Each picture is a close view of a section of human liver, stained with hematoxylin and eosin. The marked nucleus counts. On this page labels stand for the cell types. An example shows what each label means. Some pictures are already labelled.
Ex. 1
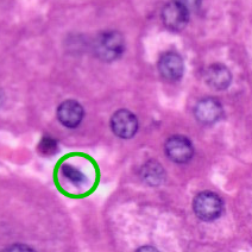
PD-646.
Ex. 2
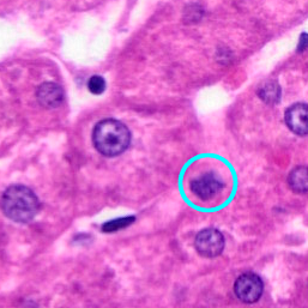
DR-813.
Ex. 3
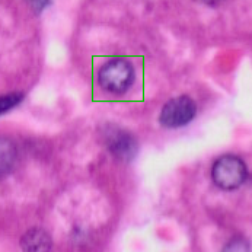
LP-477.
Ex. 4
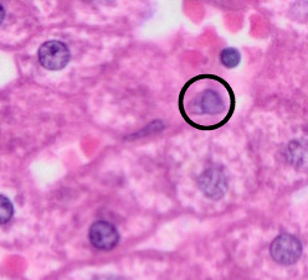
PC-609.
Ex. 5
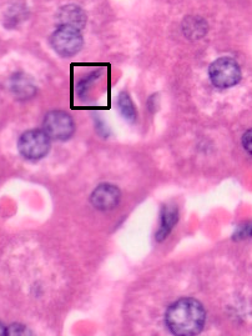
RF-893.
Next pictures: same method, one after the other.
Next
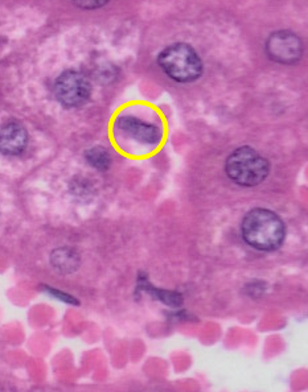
PC-609.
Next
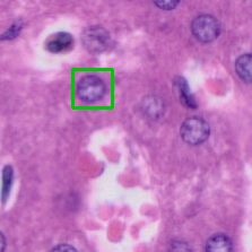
LP-477.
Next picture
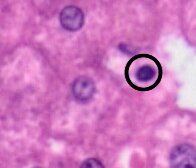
PD-646.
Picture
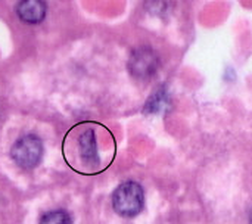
DR-813.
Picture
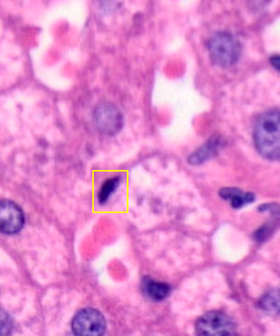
RF-893.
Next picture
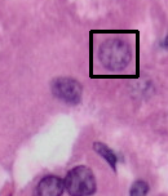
LP-477.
